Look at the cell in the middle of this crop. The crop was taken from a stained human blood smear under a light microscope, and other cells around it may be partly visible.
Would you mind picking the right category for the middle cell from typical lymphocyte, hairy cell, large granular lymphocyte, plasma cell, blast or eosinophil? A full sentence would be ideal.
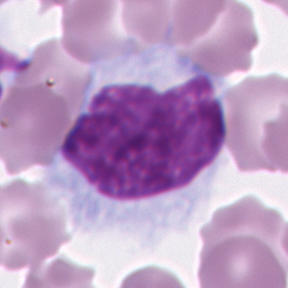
On this slide crop, the central cell is a hairy cell.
